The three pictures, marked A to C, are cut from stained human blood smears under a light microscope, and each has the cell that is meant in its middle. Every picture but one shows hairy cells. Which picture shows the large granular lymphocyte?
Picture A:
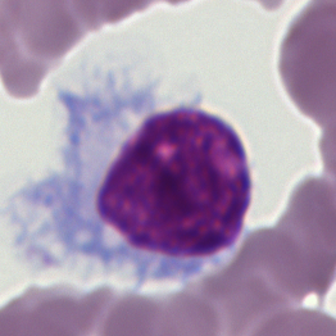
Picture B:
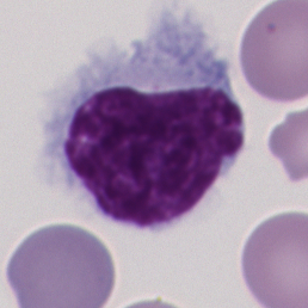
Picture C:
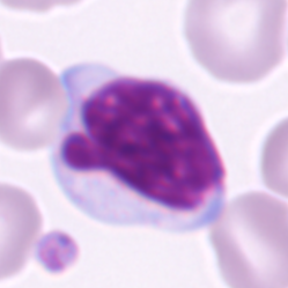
C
